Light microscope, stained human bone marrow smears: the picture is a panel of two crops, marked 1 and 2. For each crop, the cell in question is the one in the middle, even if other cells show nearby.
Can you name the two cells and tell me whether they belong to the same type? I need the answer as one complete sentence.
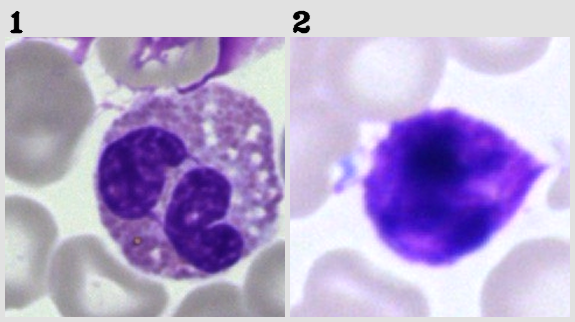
No, crop 2 shows a basophil, and crop 1 shows an eosinophil.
